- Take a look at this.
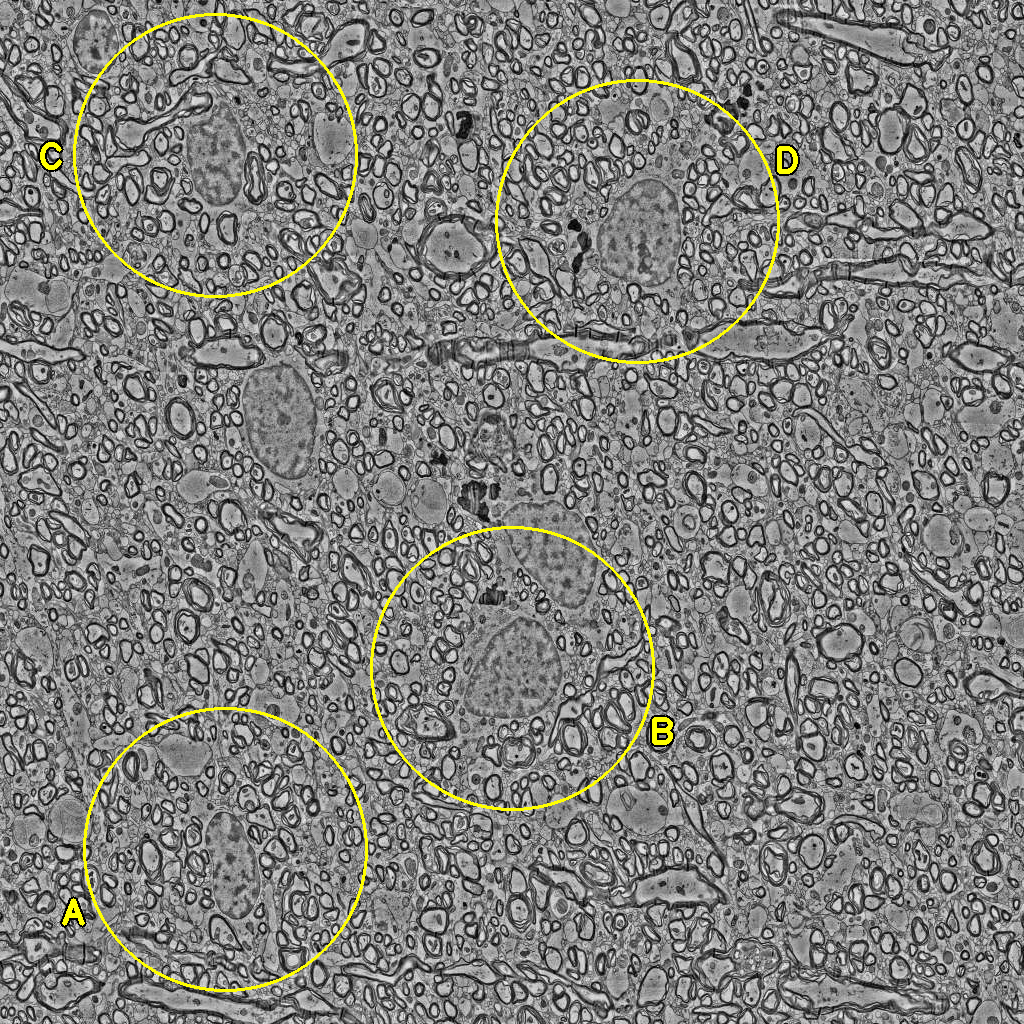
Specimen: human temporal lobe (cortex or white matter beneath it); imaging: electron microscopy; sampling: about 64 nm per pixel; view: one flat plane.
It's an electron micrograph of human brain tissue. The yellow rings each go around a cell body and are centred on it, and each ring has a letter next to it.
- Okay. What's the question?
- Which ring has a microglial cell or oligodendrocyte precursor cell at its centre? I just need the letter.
A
